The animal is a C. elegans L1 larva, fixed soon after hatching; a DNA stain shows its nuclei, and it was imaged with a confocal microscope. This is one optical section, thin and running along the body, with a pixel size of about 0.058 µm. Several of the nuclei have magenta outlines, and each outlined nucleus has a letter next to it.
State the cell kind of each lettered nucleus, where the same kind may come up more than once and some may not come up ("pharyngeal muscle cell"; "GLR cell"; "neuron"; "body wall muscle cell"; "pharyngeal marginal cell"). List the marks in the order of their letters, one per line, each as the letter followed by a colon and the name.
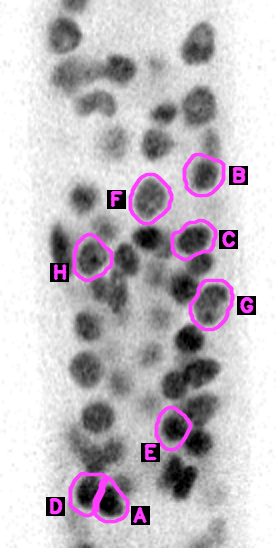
A: GLR cell
B: body wall muscle cell
C: neuron
D: neuron
E: neuron
F: pharyngeal muscle cell
G: body wall muscle cell
H: pharyngeal muscle cell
